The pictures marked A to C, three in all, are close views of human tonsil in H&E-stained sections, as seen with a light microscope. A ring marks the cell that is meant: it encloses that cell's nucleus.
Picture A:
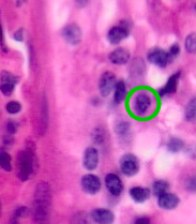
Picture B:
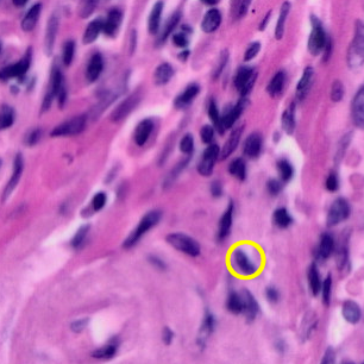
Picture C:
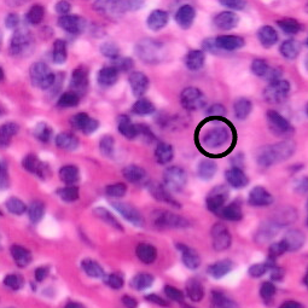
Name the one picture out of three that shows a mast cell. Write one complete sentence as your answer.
Picture B shows the mast cell.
